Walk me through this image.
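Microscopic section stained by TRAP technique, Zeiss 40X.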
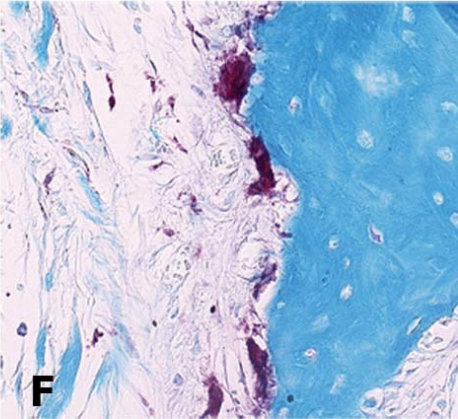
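On the right is blue-stained bone with small lacunae, and on the left pale fibrous connective tissue with wavy fibers and slender cells. At the irregular, scalloped interface between them lie several large dark purple-red osteoclasts attached to the bone surface. A few smaller purple-stained cells are scattered in the adjacent connective tissue.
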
